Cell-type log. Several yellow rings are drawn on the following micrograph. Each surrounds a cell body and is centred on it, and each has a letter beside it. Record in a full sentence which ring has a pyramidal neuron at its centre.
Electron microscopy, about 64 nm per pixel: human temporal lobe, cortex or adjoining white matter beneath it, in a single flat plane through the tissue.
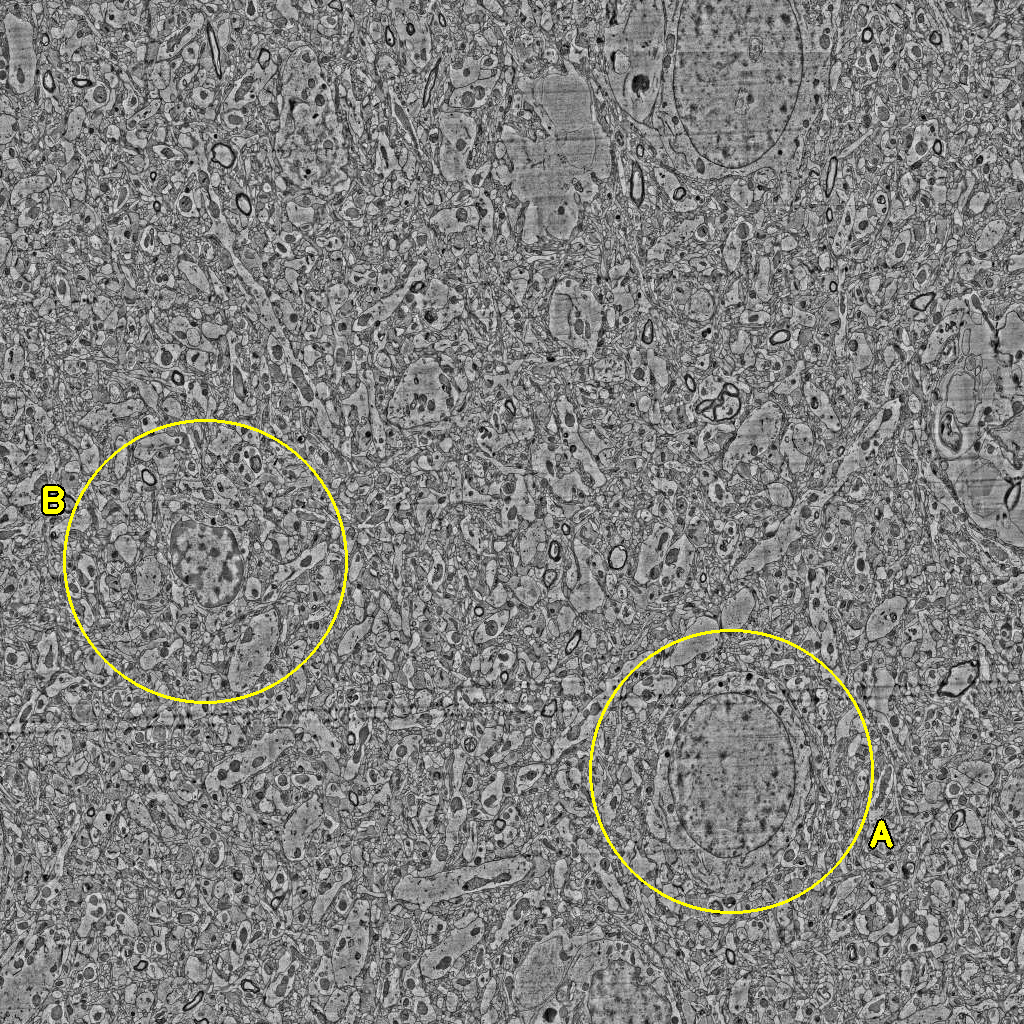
Ring A has it at its centre.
